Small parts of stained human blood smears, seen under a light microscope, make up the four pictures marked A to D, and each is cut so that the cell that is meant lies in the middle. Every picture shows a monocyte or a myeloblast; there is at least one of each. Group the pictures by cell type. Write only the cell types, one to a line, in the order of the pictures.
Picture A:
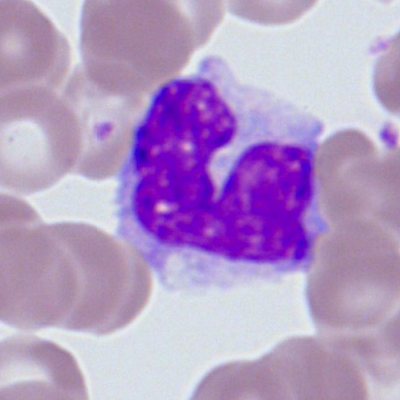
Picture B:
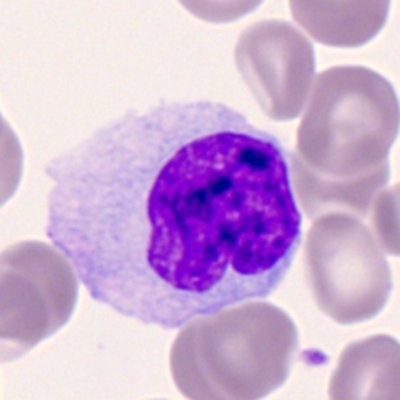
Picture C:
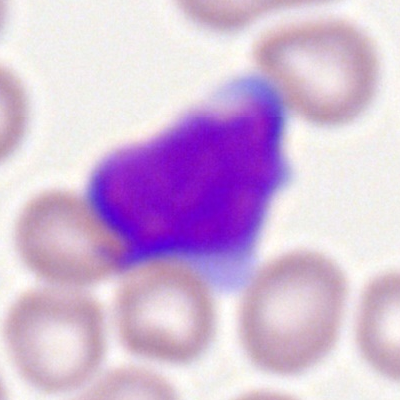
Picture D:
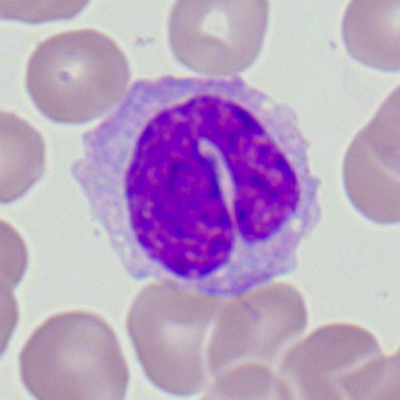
monocyte
monocyte
myeloblast
monocyte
